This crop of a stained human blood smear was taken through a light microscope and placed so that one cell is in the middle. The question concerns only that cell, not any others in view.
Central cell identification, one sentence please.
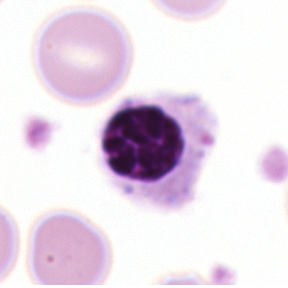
In short, the cell at the center is a normoblast.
